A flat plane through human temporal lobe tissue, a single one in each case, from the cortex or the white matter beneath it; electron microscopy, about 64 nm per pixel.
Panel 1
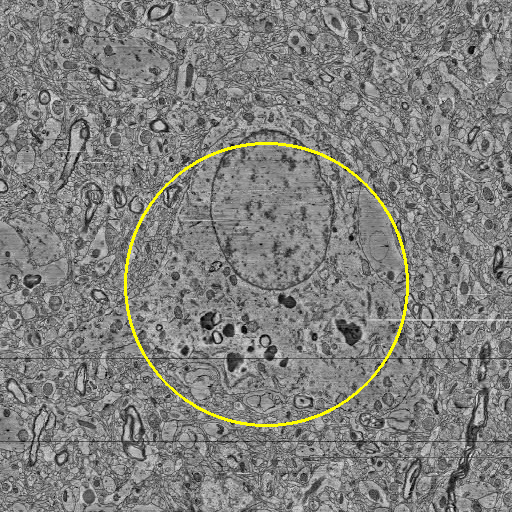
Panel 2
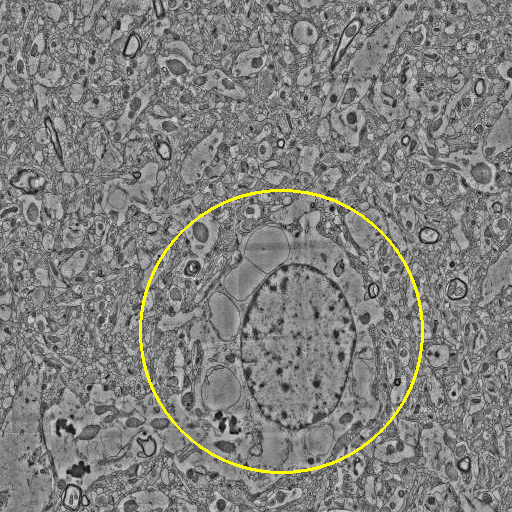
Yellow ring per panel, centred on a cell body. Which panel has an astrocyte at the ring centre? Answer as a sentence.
Panel 2 shows it at the ring centre.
